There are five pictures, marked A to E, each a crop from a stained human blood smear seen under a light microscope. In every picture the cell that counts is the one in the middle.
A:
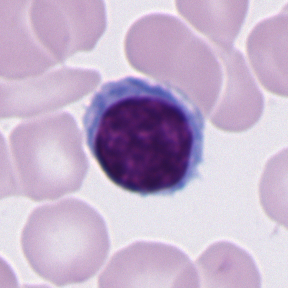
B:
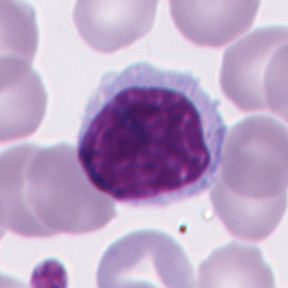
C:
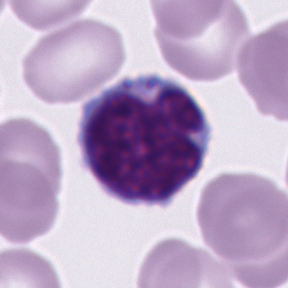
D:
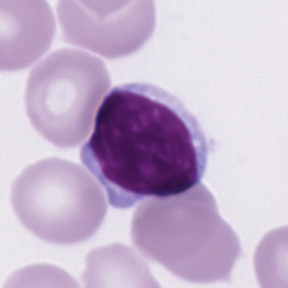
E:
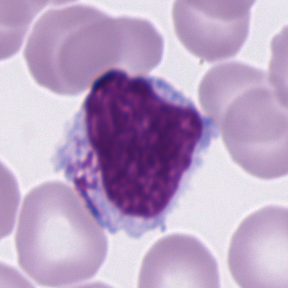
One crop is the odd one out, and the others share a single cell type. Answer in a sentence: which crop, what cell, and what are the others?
The one crop not showing typical lymphocytes is crop E, which shows a large granular lymphocyte.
